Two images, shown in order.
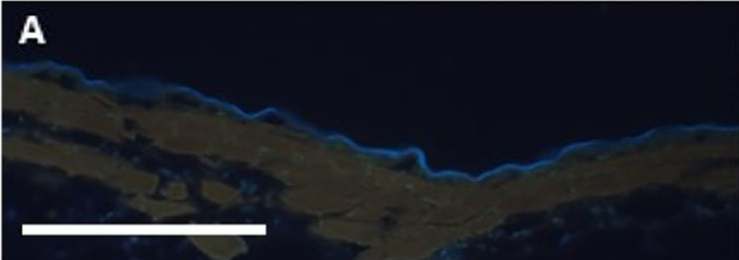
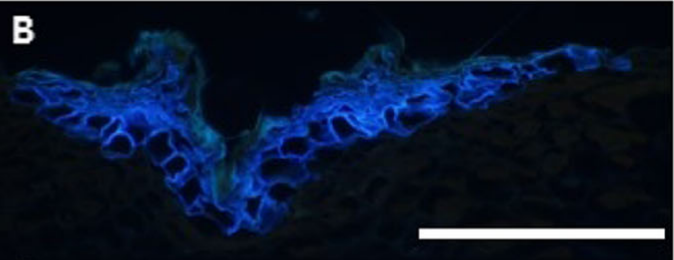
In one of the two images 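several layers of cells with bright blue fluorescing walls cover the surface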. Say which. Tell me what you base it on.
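The second image. Second image: multiple layers of flattened cells with bright blue walls at the surface. First image: only a thin blue line over dull brown tissue, no blue-walled cells.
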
